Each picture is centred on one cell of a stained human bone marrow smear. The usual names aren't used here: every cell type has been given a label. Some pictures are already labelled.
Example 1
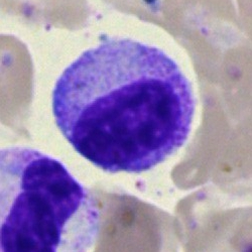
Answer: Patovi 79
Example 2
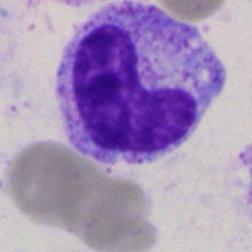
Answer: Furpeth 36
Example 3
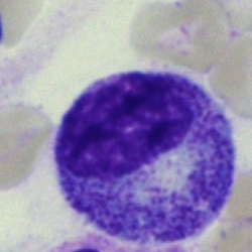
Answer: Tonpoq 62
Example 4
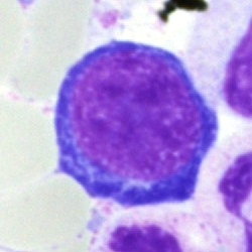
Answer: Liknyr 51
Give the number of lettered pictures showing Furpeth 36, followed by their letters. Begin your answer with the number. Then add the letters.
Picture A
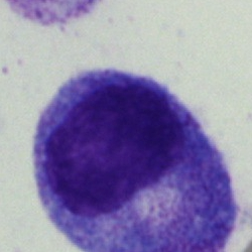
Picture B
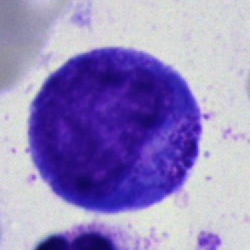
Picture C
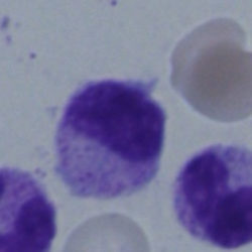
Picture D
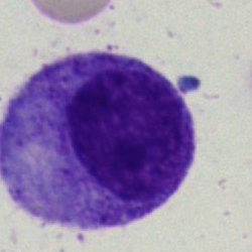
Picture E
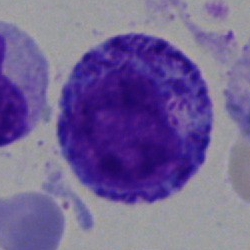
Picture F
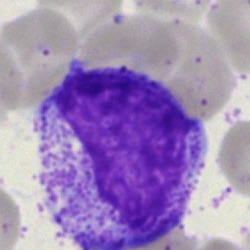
Count: 1 (C)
